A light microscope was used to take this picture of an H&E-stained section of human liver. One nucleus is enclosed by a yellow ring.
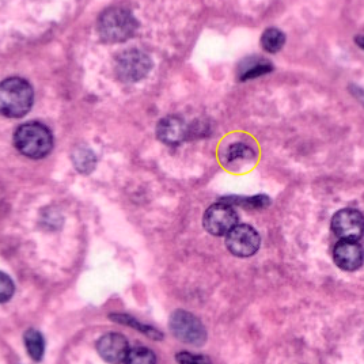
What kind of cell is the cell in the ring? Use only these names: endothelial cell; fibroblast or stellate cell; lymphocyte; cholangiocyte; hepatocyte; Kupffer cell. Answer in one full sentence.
Cell type answer for this item: the cell in the ring is a fibroblast or stellate cell.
